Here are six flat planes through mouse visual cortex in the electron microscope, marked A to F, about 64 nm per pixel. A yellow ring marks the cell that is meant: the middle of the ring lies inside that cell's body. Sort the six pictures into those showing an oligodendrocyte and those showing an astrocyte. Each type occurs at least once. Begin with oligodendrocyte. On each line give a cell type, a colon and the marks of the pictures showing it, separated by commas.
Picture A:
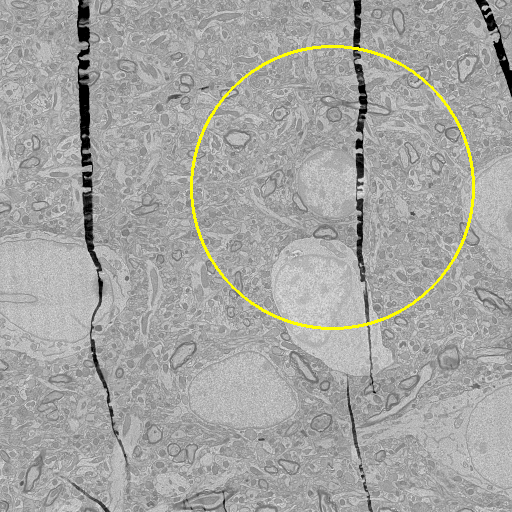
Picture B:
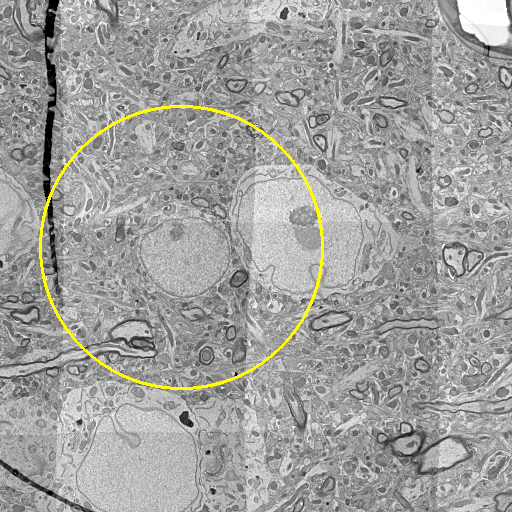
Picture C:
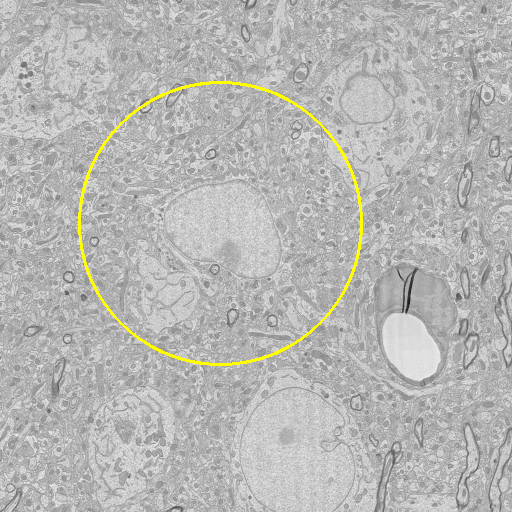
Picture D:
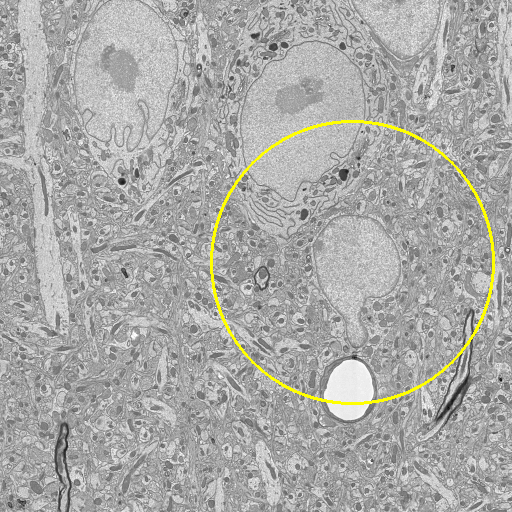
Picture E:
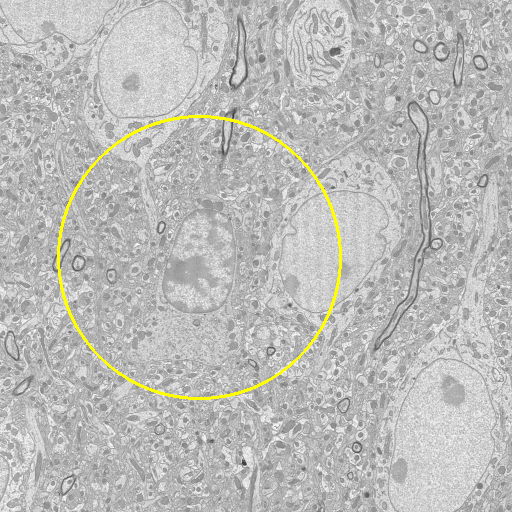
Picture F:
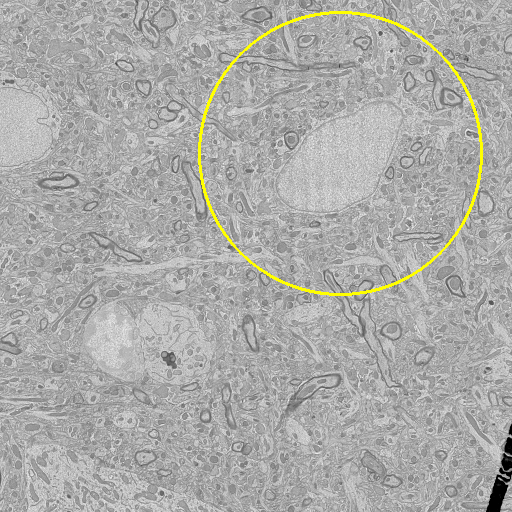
oligodendrocyte: A, E
astrocyte: B, C, D, F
